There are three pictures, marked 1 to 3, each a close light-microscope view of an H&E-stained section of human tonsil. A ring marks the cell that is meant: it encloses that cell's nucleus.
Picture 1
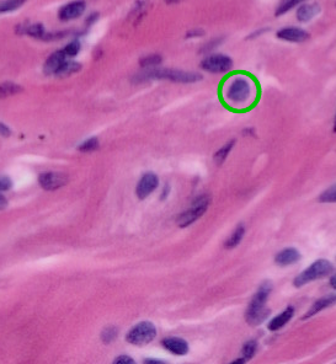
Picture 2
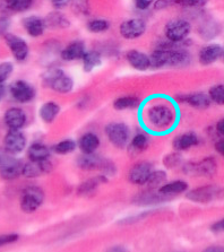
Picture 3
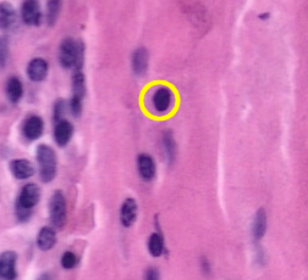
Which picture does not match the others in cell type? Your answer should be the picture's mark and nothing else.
2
